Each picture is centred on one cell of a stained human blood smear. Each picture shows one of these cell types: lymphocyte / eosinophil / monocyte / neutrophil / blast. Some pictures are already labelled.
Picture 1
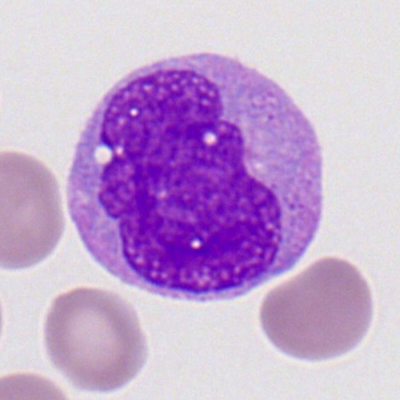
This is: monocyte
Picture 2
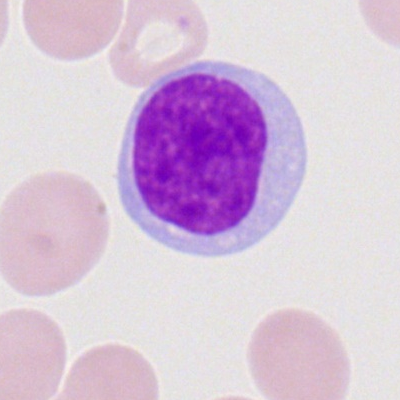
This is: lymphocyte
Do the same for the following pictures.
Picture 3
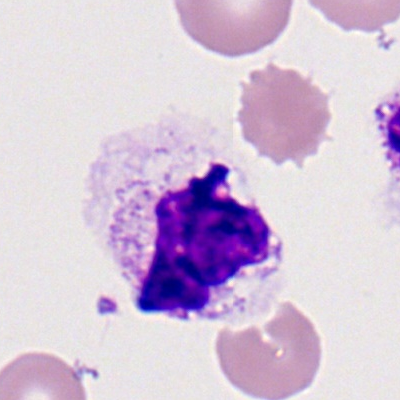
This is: neutrophil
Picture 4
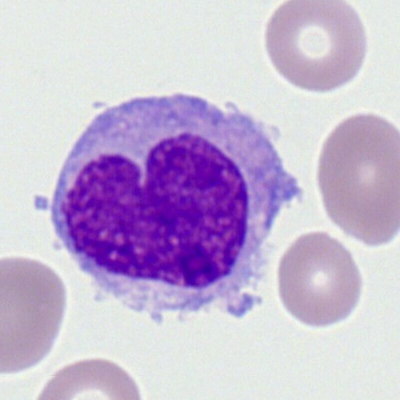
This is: monocyte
